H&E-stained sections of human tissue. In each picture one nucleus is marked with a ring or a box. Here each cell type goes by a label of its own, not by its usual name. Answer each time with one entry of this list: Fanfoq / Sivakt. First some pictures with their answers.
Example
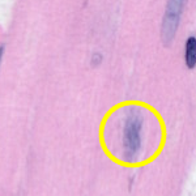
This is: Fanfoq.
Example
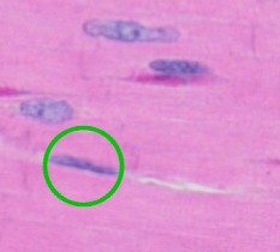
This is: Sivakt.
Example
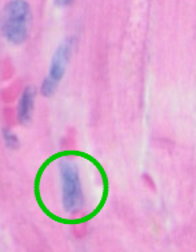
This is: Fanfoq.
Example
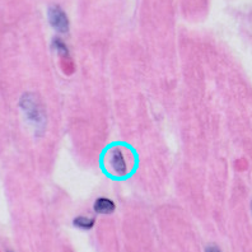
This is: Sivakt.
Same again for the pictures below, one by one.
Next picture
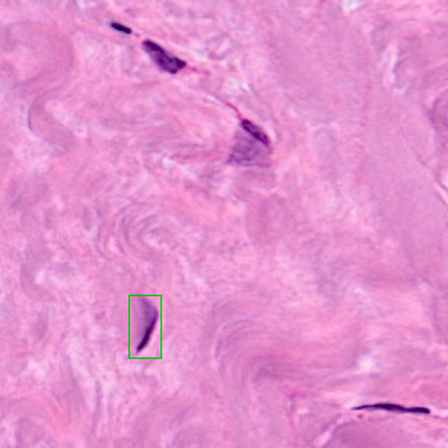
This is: Sivakt.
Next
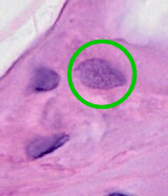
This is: Sivakt.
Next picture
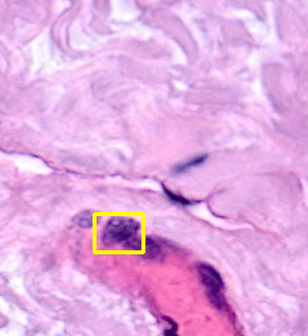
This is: Fanfoq.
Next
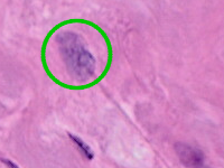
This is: Sivakt.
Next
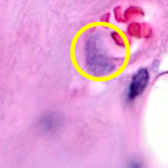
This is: Fanfoq.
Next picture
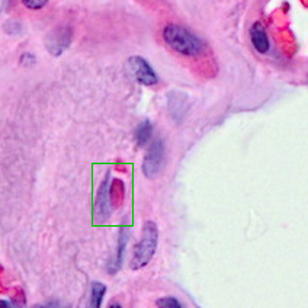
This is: Fanfoq.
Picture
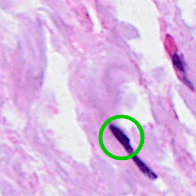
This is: Sivakt.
